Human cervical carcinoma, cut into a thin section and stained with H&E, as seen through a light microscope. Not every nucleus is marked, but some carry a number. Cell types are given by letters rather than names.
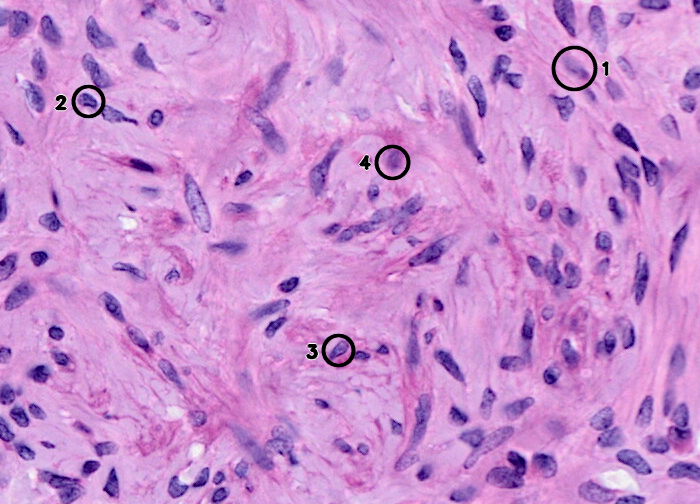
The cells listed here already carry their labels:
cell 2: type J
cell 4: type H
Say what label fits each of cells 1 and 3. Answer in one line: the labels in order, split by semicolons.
type J; type H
